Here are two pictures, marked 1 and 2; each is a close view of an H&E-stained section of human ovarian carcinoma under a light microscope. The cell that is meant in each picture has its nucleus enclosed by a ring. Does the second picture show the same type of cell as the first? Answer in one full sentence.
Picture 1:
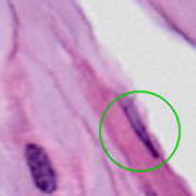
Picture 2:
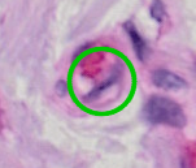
No; the cell in picture 1 is a smooth muscle cell, while the one in picture 2 is an endothelial cell.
